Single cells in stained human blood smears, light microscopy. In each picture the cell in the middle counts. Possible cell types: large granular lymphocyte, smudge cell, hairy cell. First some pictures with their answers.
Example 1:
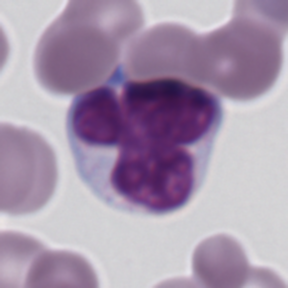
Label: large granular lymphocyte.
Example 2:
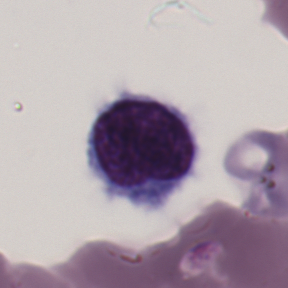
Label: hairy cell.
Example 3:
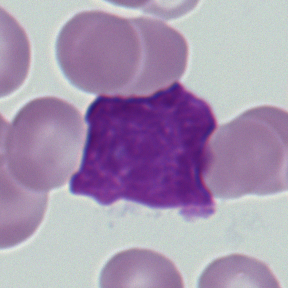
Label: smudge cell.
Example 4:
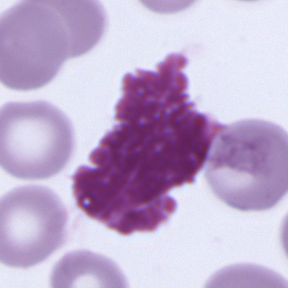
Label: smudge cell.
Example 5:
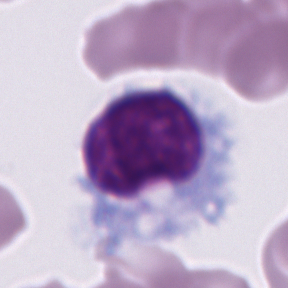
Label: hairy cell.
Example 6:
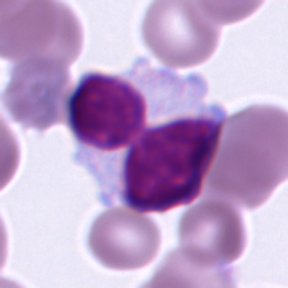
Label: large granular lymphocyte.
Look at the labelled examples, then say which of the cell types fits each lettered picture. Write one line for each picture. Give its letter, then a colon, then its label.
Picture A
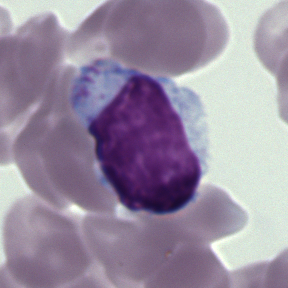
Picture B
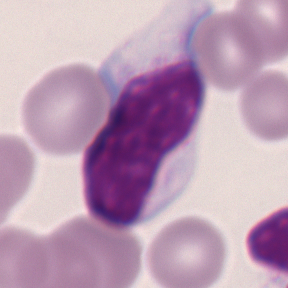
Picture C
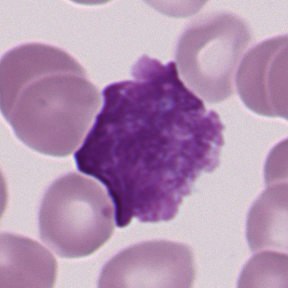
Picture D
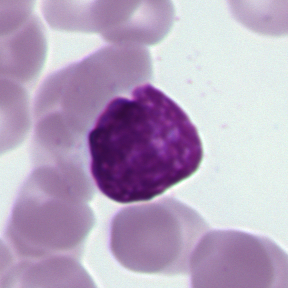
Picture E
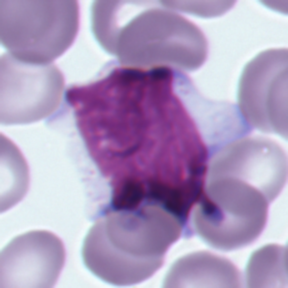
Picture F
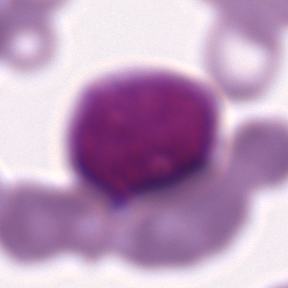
A: large granular lymphocyte.
B: large granular lymphocyte.
C: smudge cell.
D: smudge cell.
E: large granular lymphocyte.
F: smudge cell.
